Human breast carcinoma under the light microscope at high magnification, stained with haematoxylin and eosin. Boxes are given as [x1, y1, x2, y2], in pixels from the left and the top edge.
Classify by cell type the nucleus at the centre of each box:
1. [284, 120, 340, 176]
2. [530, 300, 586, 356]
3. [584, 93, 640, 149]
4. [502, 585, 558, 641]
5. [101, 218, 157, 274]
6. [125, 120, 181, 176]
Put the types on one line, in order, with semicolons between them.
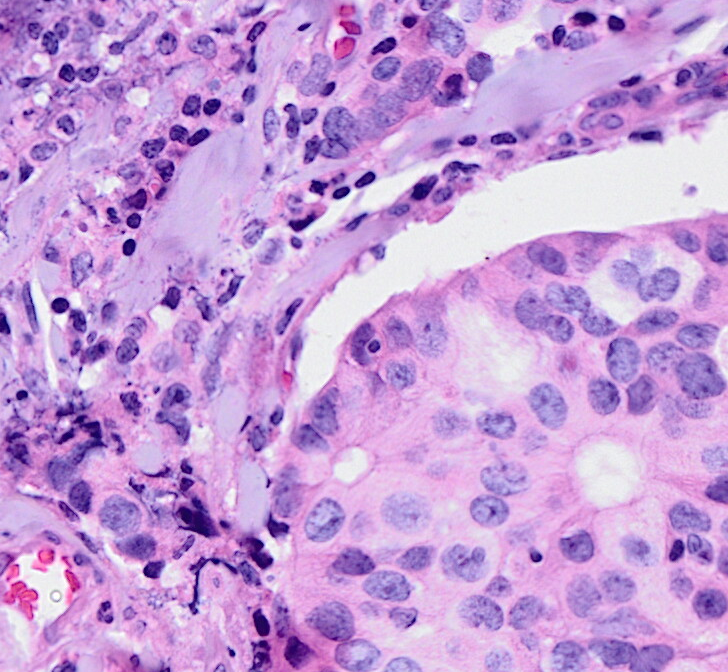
lymphocyte; carcinoma cell; endothelial cell; carcinoma cell; lymphocyte; lymphocyte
